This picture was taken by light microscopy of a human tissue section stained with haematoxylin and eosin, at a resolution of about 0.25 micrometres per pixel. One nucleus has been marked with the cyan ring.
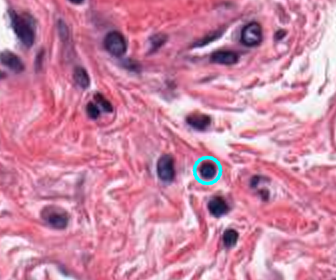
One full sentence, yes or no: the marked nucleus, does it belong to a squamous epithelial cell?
No, instead of being part of a squamous epithelial cell, the marked nucleus is part of a supporting cell.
